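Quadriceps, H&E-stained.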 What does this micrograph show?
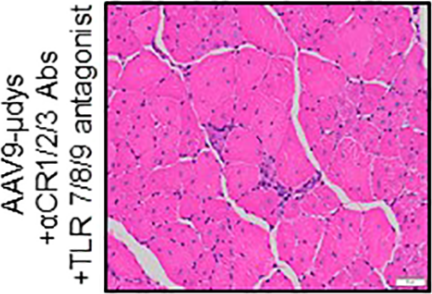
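Pink skeletal muscle fibers in cross-section, mostly polygonal and tightly packed, with nuclei at their edges. Only a few small groups of dark purple nuclei lie in the spaces between some fibers. These are small inflammatory foci in otherwise compact muscle.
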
